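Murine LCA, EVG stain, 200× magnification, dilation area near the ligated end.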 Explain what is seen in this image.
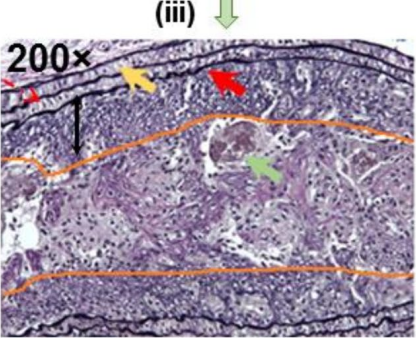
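A vessel wall at high power shows a layered outer band with thin, wavy black lines running parallel to the surface, and between them purple tissue with elongated nuclei, as in elastic fibres and smooth muscle of an artery wall. Inside this band lies a broad zone crowded with rounded cells and many nuclei, less orderly than the wall, with a darker rounded mass inside it and scattered small clefts. Such a dense cellular zone next to the wall fits an accumulation of inflammatory cells, with a thrombus among them.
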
